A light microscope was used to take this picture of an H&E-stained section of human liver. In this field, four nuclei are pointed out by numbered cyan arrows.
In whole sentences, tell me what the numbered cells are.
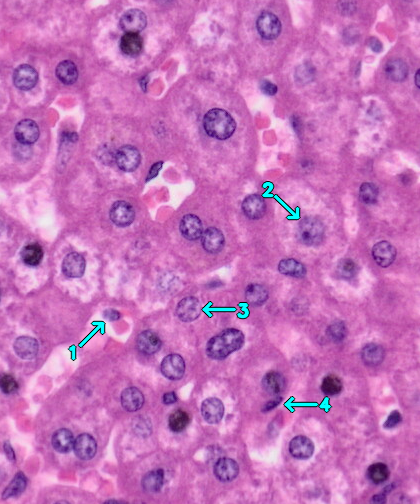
Cell 1 is a lymphocyte, cell 2 is a hepatocyte, cell 3 is a hepatocyte and cell 4 is a fibroblast or stellate cell.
